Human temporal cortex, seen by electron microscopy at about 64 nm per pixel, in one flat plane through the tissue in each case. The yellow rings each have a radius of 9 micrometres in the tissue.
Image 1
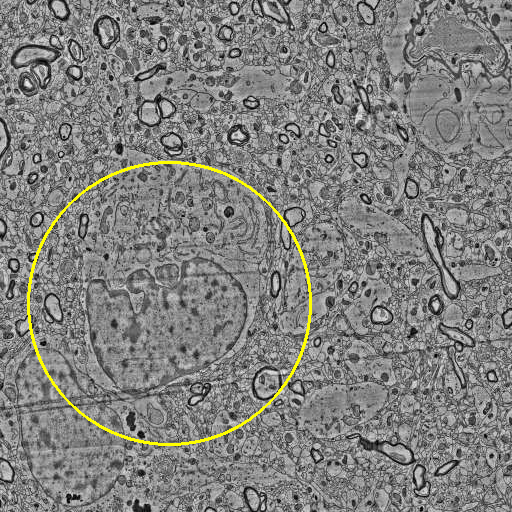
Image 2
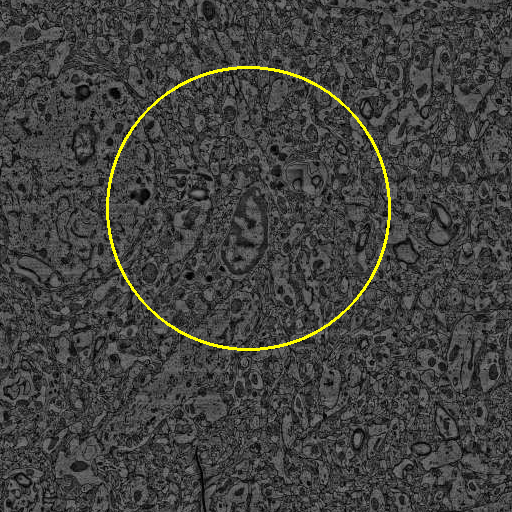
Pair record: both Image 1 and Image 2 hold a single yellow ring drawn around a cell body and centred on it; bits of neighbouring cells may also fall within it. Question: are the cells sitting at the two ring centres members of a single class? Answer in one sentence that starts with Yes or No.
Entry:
Yes, both ring-centre cells in Image 1 and Image 2 are members of one class.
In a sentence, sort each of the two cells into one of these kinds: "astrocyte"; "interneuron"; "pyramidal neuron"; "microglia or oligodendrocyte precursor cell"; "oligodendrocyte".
Each of the two pictures has a microglial cell or oligodendrocyte precursor cell at the ring centre.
